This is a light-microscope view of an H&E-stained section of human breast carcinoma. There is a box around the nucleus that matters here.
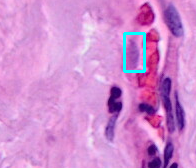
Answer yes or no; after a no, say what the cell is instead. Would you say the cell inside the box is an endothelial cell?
Yes.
